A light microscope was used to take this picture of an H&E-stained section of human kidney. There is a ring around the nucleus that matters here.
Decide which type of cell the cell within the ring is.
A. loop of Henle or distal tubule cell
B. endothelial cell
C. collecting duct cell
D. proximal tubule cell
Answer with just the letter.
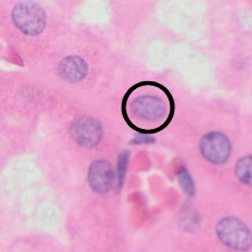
D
